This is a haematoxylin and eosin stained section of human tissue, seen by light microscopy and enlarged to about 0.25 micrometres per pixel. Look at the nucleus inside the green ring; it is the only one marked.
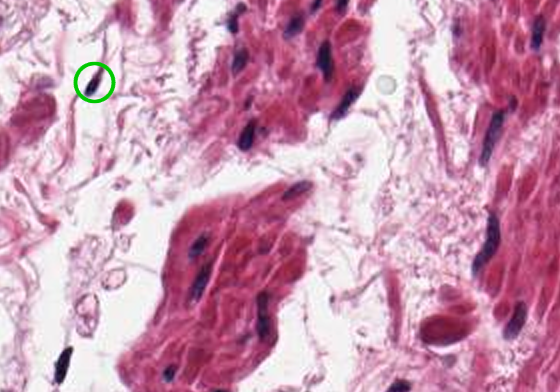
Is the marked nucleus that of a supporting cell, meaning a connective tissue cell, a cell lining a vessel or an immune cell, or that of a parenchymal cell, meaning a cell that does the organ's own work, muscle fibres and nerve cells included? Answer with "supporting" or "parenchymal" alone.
supporting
